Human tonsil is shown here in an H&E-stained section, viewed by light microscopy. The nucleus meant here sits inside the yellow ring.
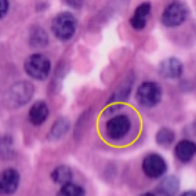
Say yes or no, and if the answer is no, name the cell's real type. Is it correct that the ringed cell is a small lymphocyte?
No, it is a plasma cell.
